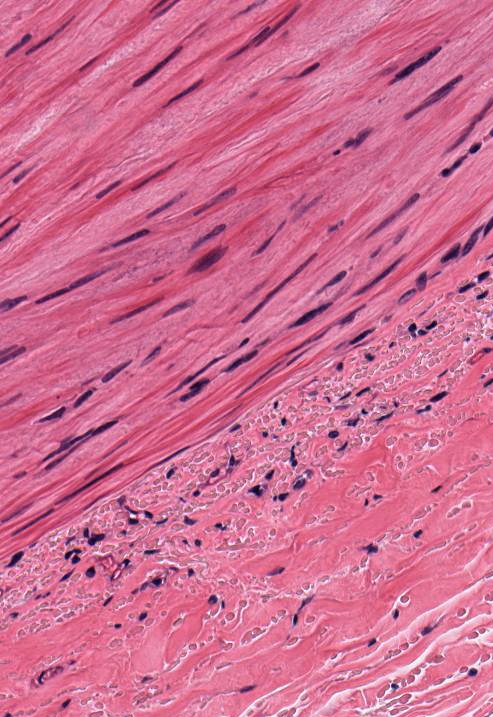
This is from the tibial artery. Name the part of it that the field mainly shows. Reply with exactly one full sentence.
The part in view in this section is tunica media.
